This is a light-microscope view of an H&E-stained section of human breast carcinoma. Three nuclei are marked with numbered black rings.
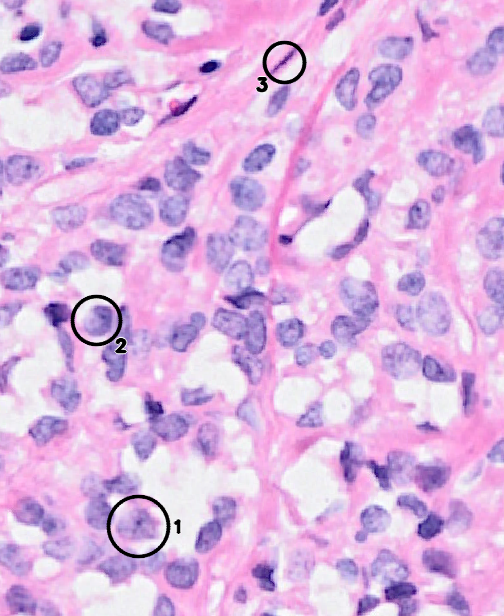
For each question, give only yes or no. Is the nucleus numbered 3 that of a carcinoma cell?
no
